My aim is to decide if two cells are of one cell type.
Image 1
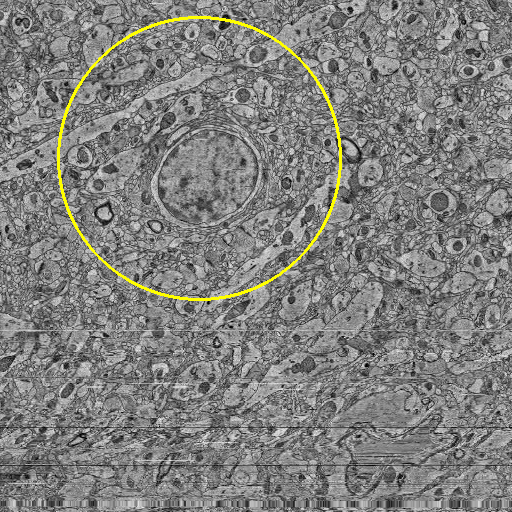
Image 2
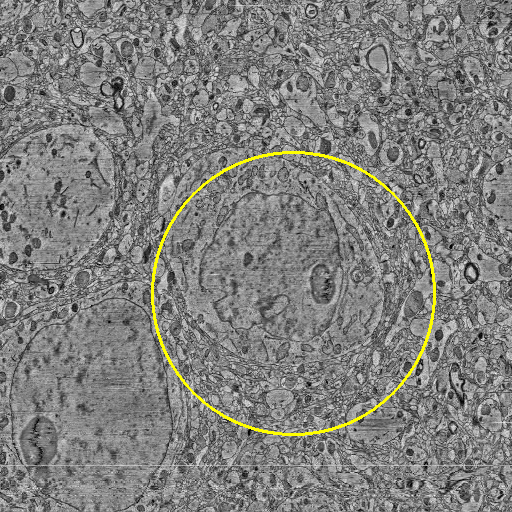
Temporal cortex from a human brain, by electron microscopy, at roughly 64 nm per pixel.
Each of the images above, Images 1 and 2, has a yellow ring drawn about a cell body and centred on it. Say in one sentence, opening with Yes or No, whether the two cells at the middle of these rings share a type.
No, in Images 1 and 2 the cells at the middle of the rings fall into two types.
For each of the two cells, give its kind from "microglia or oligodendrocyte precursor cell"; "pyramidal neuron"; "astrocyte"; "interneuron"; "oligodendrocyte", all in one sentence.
The first picture has a microglial cell or oligodendrocyte precursor cell in its ring, the second has an interneuron.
